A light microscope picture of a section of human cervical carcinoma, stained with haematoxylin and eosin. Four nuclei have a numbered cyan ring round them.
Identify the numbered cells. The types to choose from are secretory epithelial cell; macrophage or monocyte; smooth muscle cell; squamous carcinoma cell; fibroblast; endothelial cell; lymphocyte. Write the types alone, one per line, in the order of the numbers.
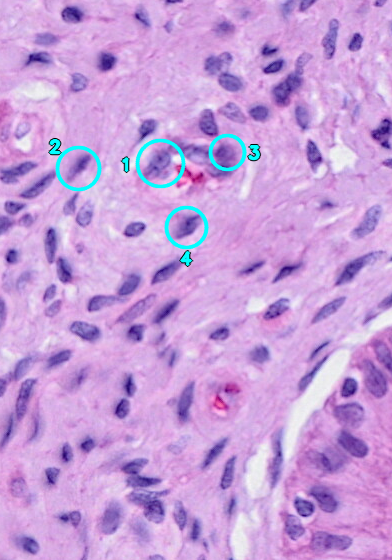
endothelial cell
fibroblast
endothelial cell
fibroblast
